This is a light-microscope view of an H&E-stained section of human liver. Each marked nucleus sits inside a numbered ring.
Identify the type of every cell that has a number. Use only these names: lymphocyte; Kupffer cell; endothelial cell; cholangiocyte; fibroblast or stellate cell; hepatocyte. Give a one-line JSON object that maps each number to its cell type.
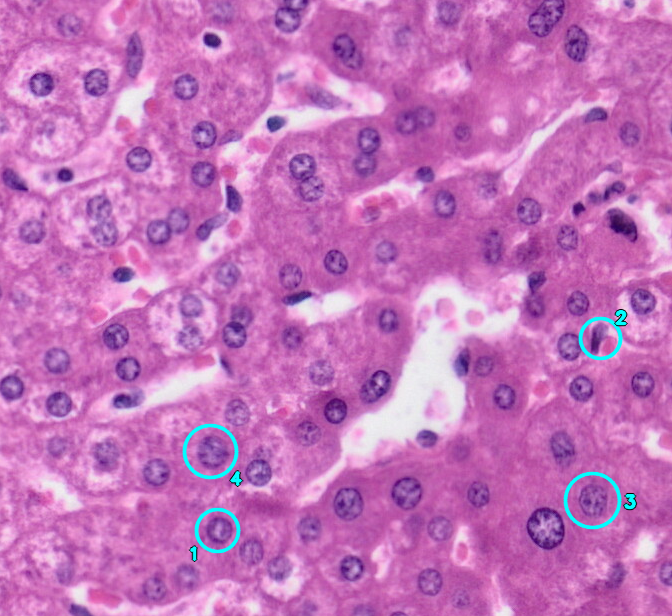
{"1": "hepatocyte", "2": "endothelial cell", "3": "hepatocyte", "4": "hepatocyte"}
